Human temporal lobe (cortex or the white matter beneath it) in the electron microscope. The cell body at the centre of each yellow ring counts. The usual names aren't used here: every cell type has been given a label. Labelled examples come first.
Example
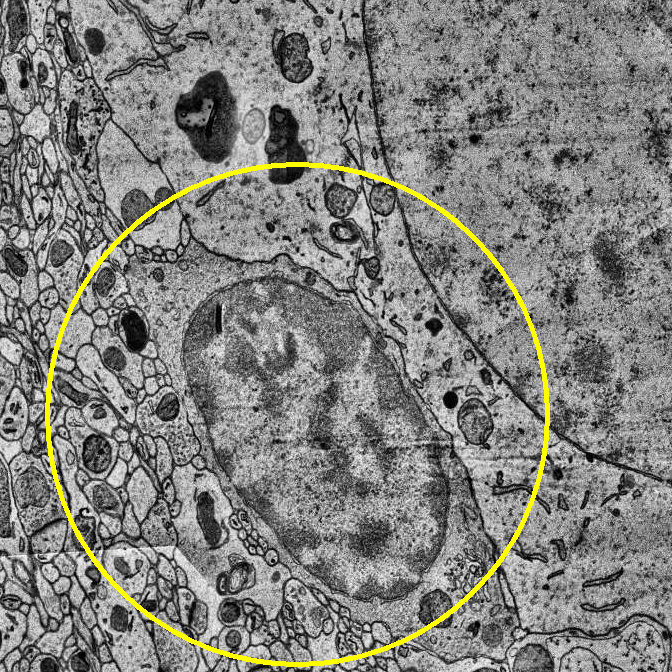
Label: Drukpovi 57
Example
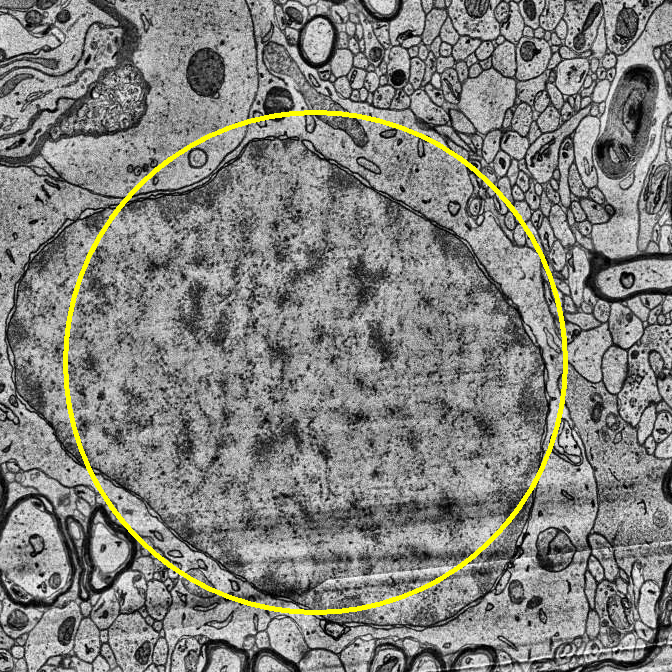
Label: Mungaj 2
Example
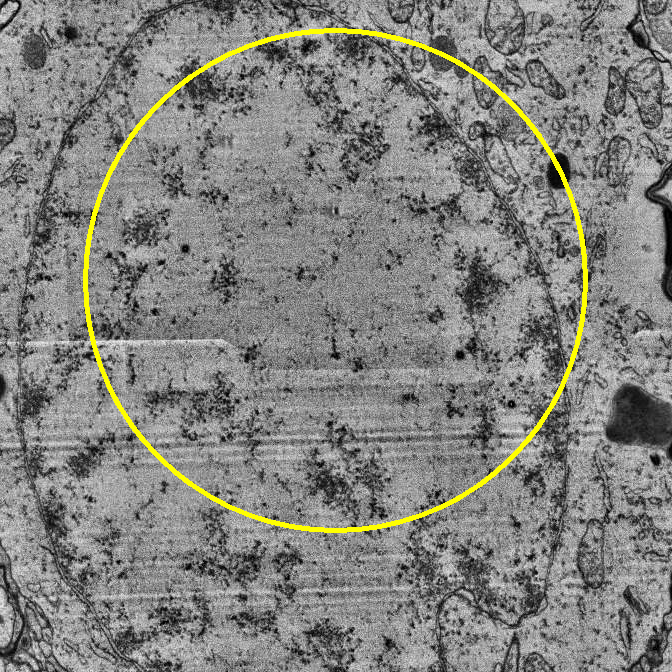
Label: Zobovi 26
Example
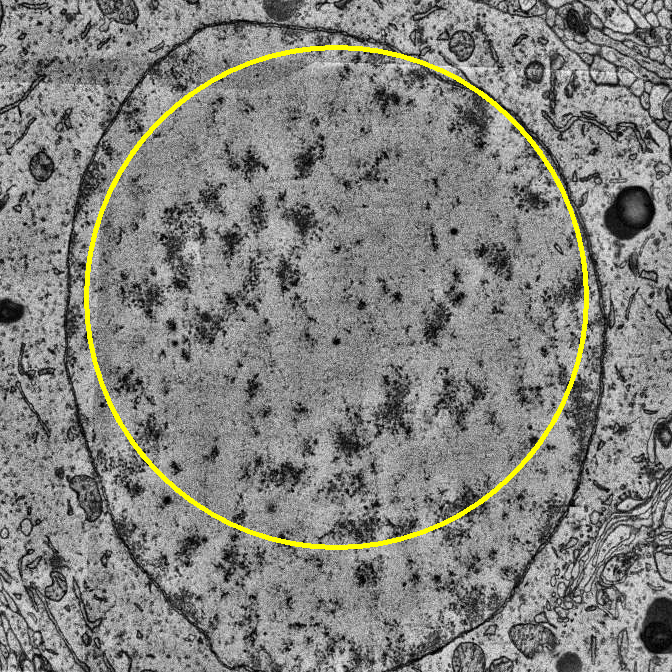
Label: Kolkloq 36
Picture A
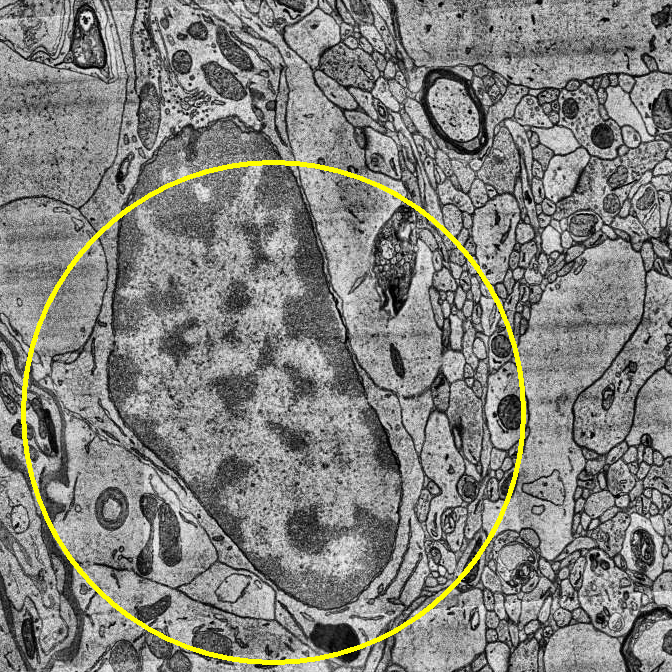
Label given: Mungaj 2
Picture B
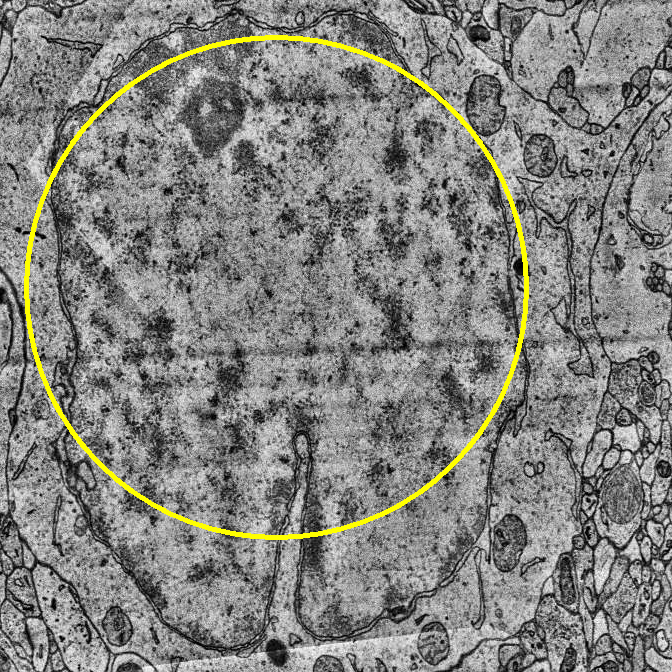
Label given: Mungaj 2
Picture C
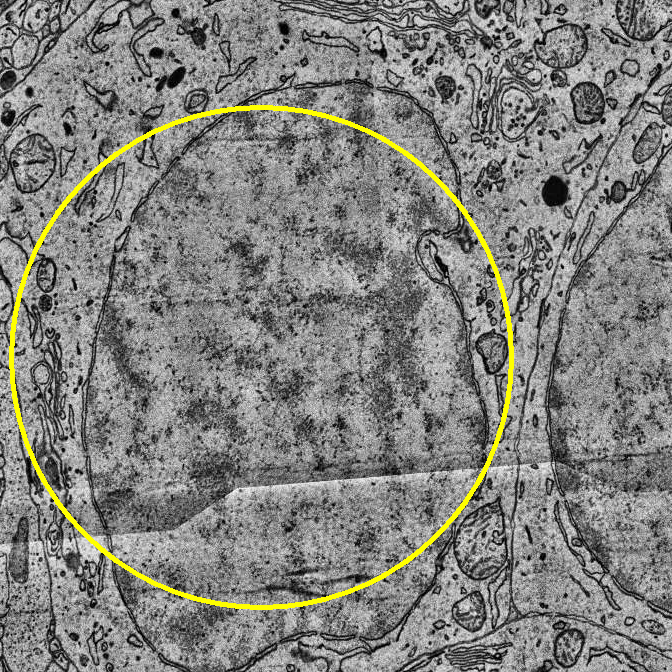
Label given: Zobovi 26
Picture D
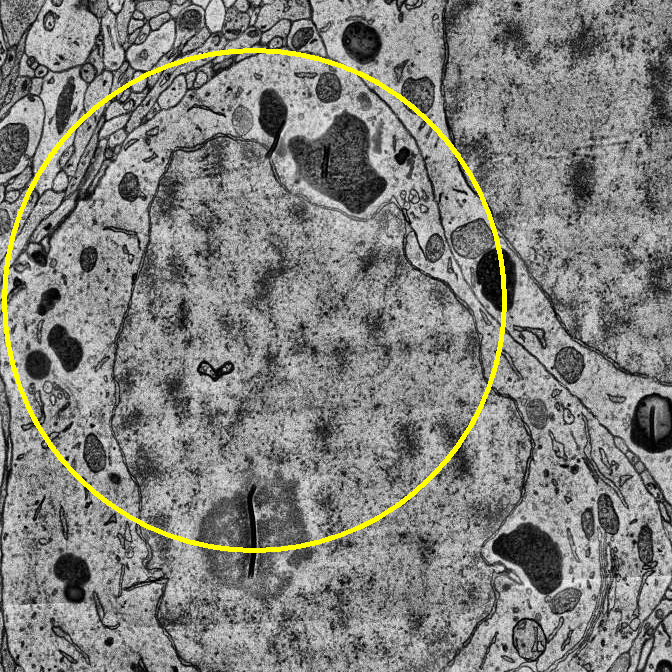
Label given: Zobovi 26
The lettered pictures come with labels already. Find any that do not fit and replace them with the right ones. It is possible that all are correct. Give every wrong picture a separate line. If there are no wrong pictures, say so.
B: Zobovi 26, not Mungaj 2
C: Kolkloq 36, not Zobovi 26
